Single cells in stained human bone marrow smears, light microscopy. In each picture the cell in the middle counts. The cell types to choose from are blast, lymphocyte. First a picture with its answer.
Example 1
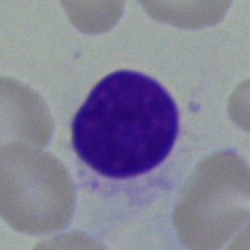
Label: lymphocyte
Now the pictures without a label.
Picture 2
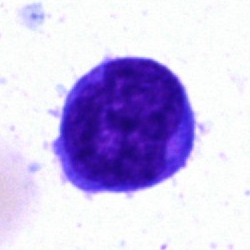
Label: blast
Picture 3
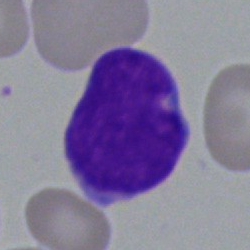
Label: blast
